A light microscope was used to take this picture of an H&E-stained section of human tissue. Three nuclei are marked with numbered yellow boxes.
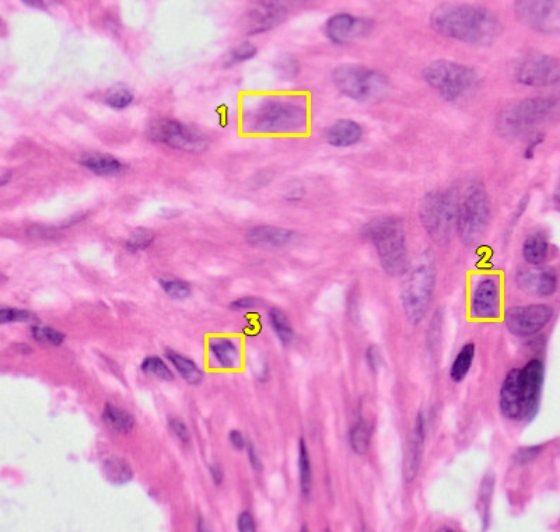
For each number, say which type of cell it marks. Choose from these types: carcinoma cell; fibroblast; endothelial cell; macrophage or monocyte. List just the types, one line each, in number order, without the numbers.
fibroblast
macrophage or monocyte
fibroblast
